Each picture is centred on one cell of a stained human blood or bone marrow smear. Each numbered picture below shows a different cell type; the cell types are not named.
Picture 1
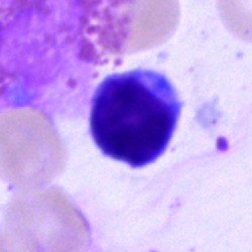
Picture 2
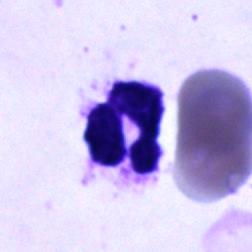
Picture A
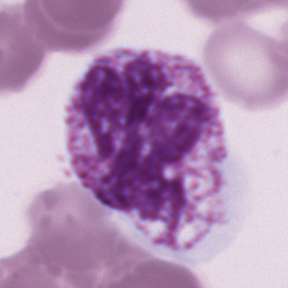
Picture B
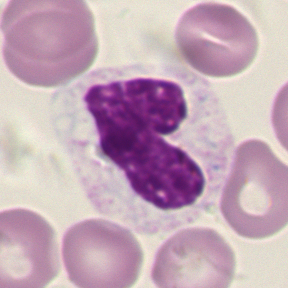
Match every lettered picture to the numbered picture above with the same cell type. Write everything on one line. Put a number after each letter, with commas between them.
A 2, B 2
